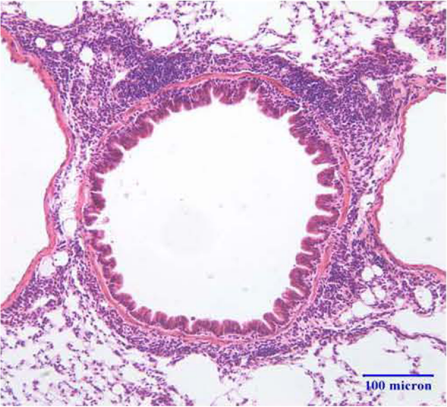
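This is a section of lung with a large airway in the centre, surrounded by a dense infiltrate of inflammatory cells. The airway lumen is round and empty, lined by a folded layer of tall columnar epithelium whose cells stain deep purple-pink. Beneath the epithelium runs a distinct pink band of wall tissue. Outside this wall, a broad cuff of tightly packed small cells with dark purple nuclei encircles the airway and extends into the tissue around adjacent vessels. Alveolar spaces with thin walls lie at the edges of the field.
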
